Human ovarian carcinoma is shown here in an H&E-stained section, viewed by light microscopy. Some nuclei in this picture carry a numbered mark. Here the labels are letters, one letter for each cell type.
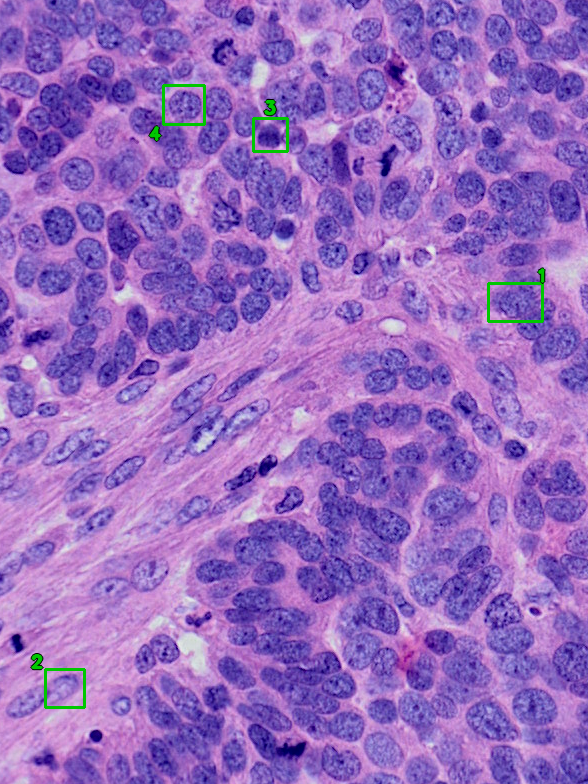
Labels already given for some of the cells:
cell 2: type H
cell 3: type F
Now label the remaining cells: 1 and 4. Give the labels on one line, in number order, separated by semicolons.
type F; type F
